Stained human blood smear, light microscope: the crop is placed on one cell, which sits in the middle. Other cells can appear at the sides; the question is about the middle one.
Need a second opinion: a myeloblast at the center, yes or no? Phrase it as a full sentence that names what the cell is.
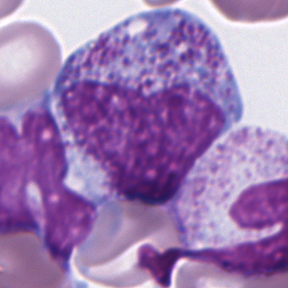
No, instead of a myeloblast, the centred cell represents a promyelocyte.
